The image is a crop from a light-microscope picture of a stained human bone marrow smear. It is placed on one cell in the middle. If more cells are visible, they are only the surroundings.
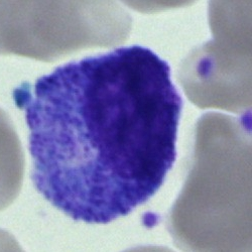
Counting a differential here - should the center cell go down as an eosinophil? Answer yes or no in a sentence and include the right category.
No, the centrally located cell is a promyelocyte rather than an eosinophil.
